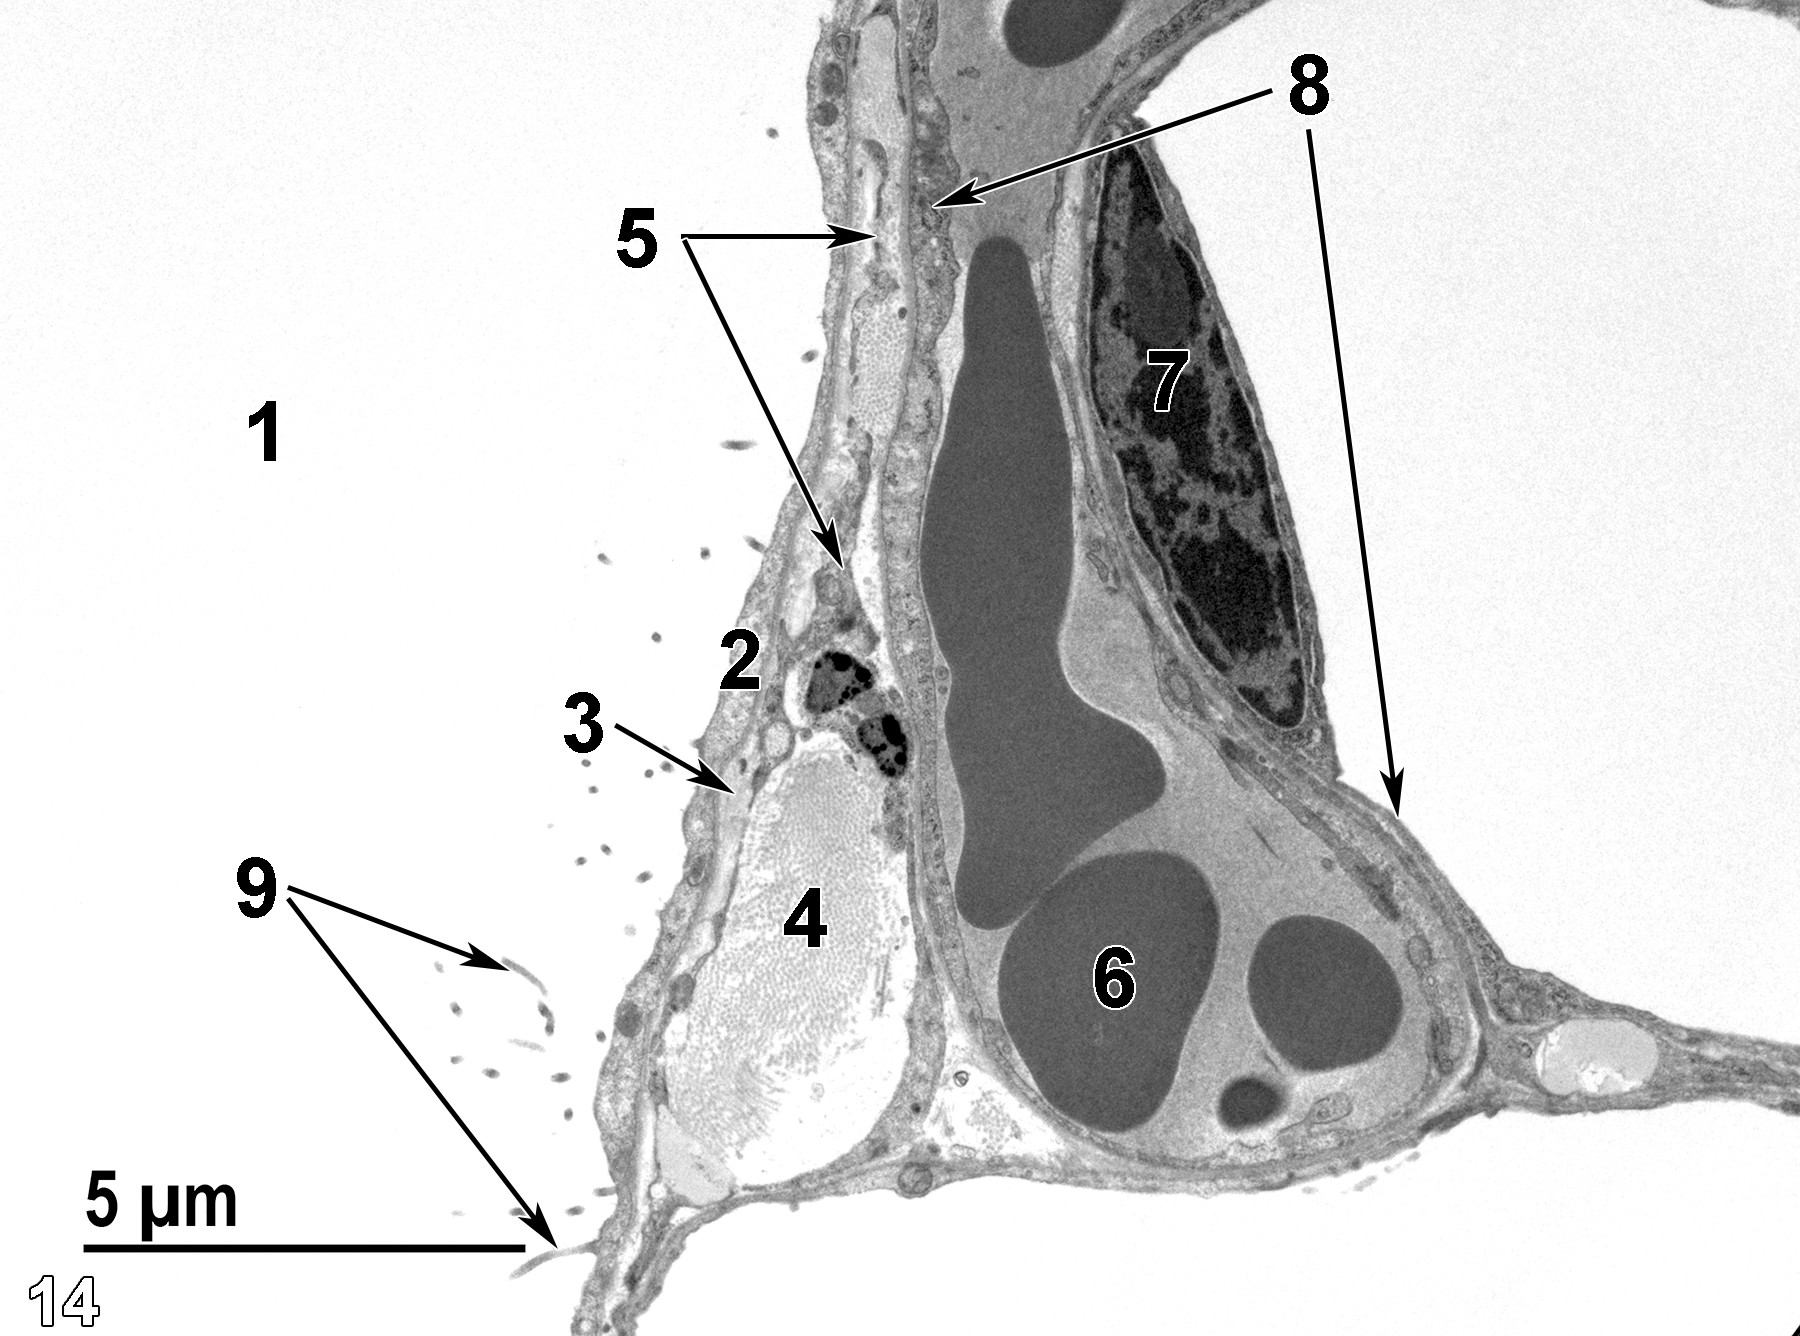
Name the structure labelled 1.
1 marks the pleural cavity.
